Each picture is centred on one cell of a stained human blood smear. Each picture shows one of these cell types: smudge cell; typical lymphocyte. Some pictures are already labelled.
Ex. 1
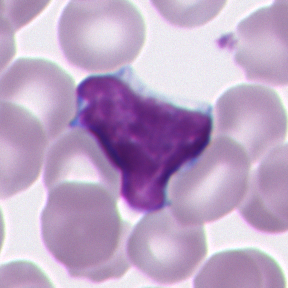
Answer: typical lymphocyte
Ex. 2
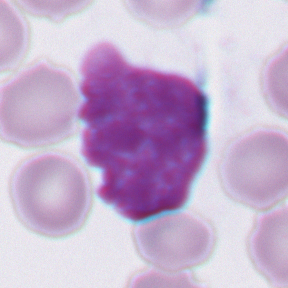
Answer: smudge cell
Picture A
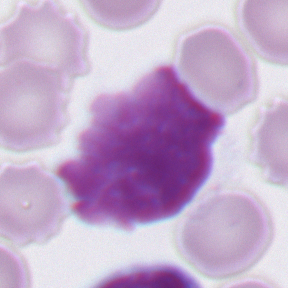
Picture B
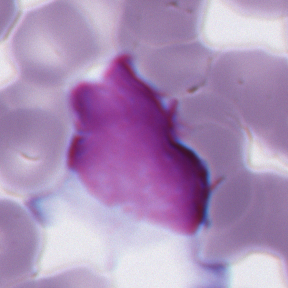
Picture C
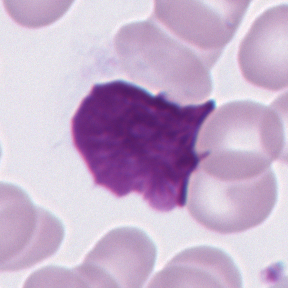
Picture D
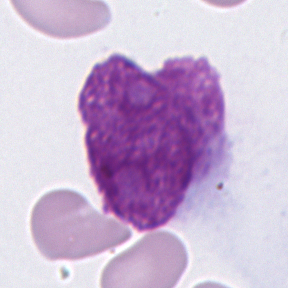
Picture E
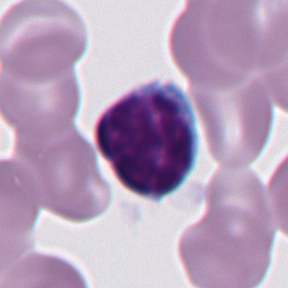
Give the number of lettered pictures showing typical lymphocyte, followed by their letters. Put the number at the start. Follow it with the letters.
Count: 2 (B, E)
